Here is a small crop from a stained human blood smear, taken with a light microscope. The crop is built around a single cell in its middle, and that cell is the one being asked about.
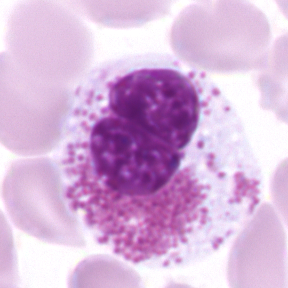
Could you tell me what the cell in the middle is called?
eosinophil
